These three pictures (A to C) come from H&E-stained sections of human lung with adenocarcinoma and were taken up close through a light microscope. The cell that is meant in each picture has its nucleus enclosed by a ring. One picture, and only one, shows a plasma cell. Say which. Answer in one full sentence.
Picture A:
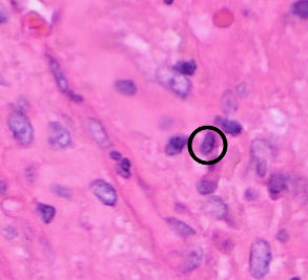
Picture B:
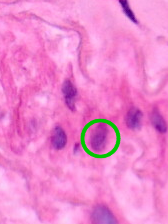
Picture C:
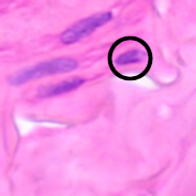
Picture A shows the plasma cell.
